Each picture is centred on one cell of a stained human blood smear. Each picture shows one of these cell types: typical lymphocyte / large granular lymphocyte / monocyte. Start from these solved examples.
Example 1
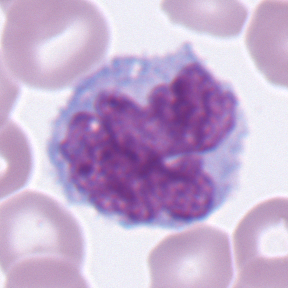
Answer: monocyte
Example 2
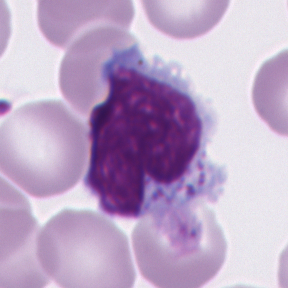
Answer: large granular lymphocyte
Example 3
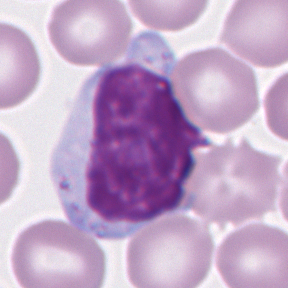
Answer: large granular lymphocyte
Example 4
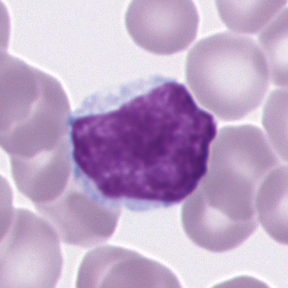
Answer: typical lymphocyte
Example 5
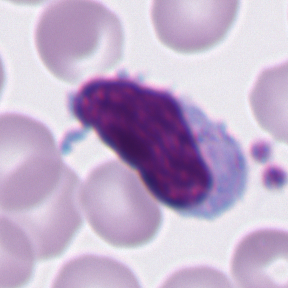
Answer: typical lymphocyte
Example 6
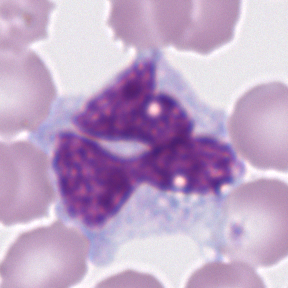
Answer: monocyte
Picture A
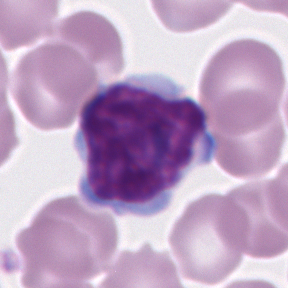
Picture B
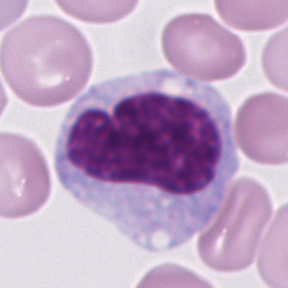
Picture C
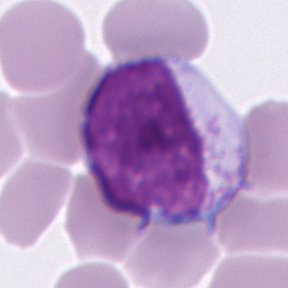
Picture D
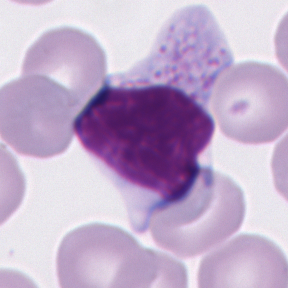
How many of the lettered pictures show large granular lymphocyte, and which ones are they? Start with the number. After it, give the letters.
2, namely C, D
